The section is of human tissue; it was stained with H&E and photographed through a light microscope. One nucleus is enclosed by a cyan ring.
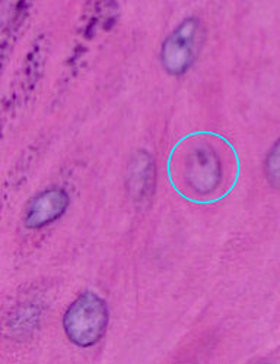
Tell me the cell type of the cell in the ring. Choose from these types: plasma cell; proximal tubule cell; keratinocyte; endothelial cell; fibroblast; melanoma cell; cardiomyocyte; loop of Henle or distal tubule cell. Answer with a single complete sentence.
In the context of this tissue, the cell in the ring is a keratinocyte.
